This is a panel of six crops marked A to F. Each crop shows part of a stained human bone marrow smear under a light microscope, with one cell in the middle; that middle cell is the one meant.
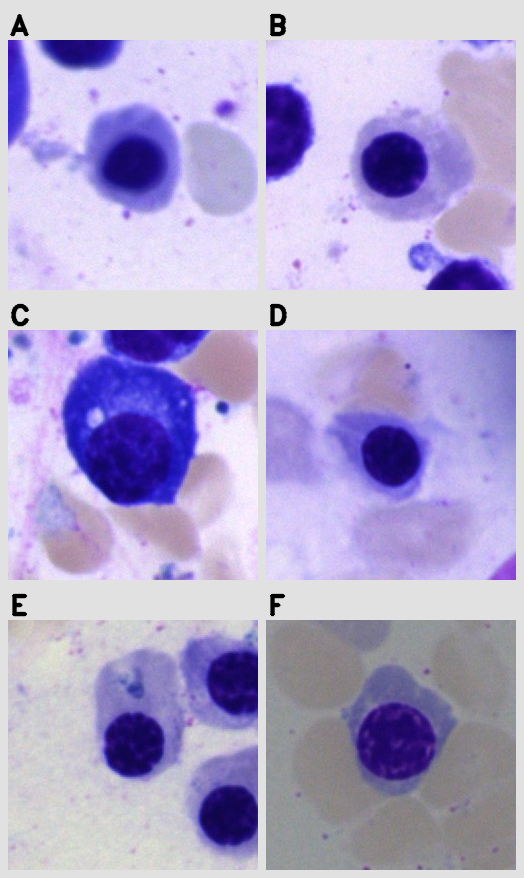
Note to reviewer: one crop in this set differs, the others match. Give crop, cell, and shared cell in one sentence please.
Crop C shows a plasma cell, while all of the others show erythroblasts.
